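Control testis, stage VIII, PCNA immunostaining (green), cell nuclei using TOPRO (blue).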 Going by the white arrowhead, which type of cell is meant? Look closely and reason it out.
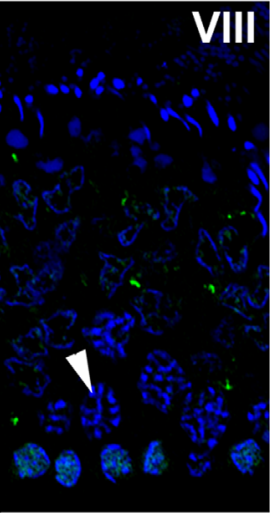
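The marked cell has a large nucleus with thick, threadlike chromatin. It lies above the basal row of cells. It shows blue nuclear stain with little green.
Answer: Pachytene spermatocytes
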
